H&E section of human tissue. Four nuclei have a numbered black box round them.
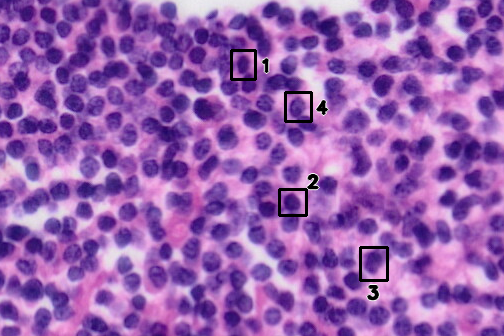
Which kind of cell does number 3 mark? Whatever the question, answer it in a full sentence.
The cell referenced by the number 3 is a proliferating B cell in this field.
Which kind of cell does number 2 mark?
The cell referred to as 2 is a small lymphocyte.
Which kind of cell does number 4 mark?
The cell whose nucleus carries the number 4 is a small lymphocyte.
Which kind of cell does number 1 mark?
Identified as a small lymphocyte is the cell bearing the number 1.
